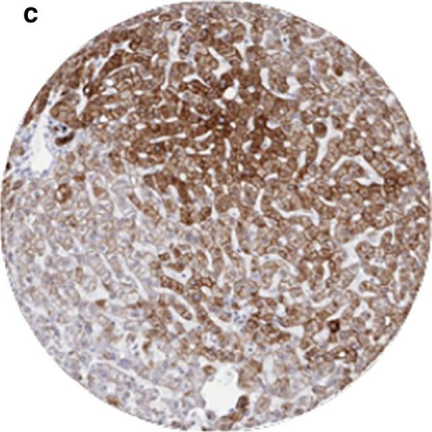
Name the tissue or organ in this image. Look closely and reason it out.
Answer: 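Polygonal cells are arranged in anastomosing plates separated by narrow sinusoidal spaces. Staining is darker in some regions and paler in others. That points to this answer: liver.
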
